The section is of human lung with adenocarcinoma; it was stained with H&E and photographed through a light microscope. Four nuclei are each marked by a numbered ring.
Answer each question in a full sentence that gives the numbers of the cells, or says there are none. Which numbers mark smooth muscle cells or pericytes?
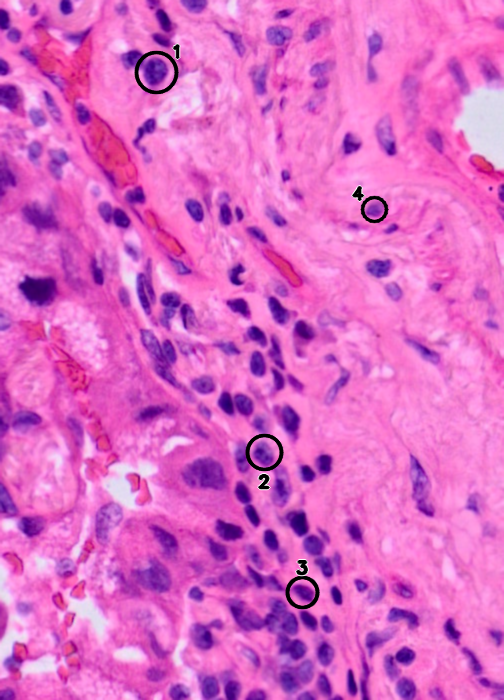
Only the cell carrying number 4 is a smooth muscle cell or pericyte.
